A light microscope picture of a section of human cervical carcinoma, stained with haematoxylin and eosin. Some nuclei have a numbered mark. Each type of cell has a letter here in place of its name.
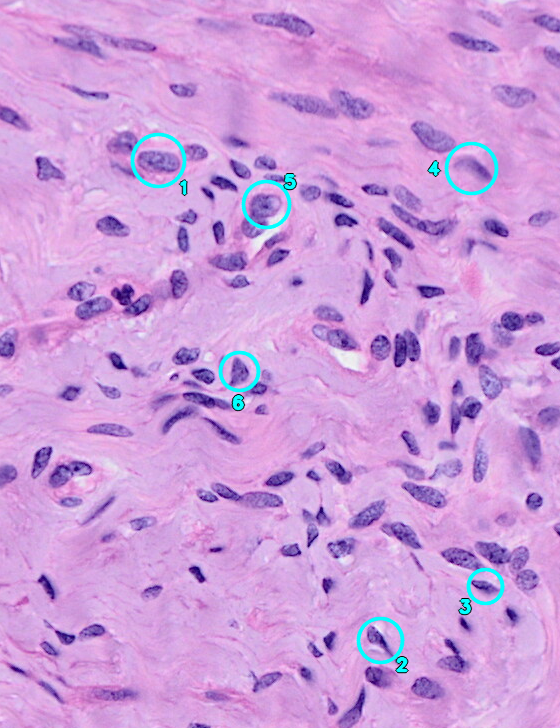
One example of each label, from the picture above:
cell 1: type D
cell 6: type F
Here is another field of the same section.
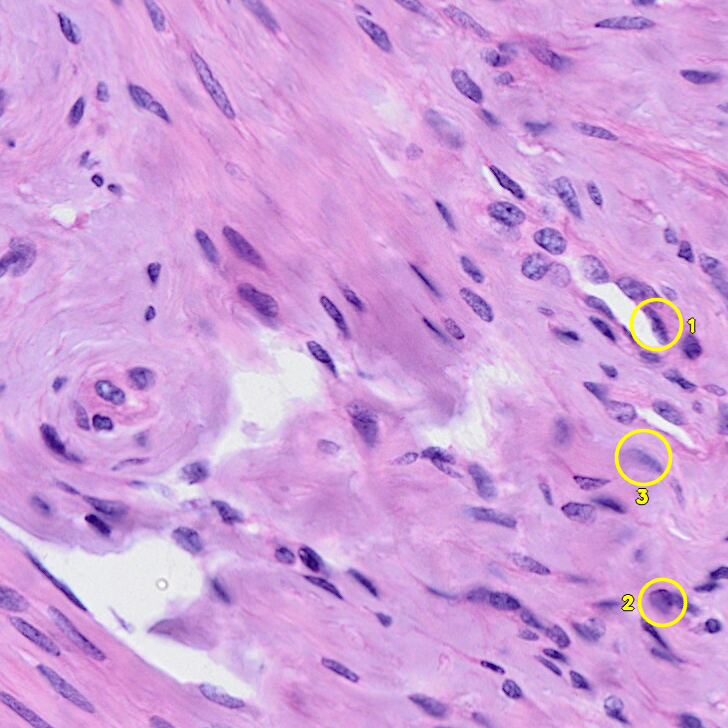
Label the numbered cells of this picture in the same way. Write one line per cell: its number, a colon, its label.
1: type D
2: type F
3: type F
